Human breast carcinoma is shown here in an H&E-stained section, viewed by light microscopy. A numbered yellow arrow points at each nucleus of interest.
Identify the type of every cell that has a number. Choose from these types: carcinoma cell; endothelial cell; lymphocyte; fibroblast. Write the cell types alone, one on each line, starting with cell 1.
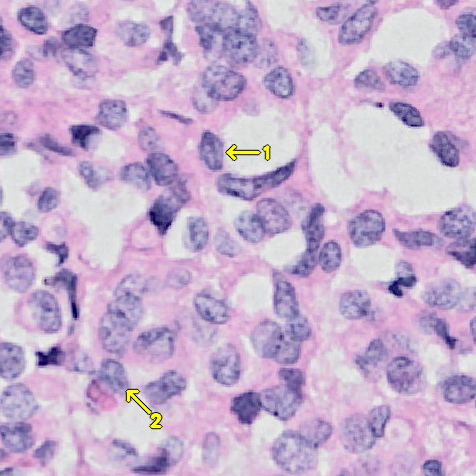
carcinoma cell
endothelial cell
